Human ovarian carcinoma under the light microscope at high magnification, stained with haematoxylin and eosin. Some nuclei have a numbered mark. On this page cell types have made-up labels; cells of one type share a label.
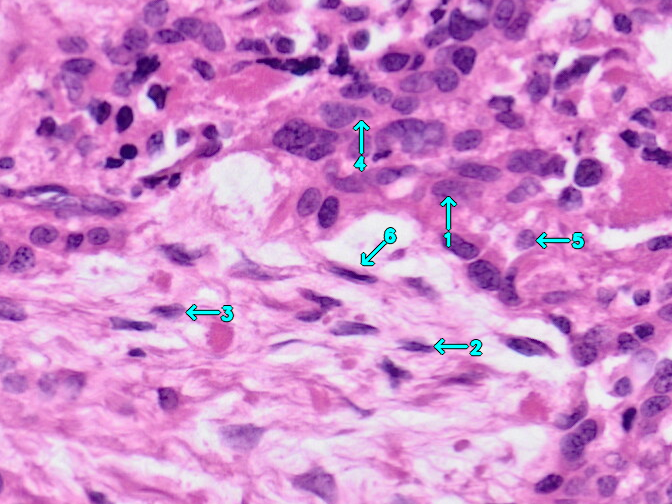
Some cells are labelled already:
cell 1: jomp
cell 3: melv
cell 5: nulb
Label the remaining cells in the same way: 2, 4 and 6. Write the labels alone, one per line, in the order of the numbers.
melv
jomp
melv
